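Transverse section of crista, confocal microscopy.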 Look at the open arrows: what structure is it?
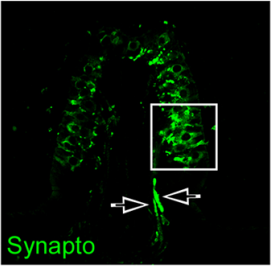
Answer: innervating fibers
